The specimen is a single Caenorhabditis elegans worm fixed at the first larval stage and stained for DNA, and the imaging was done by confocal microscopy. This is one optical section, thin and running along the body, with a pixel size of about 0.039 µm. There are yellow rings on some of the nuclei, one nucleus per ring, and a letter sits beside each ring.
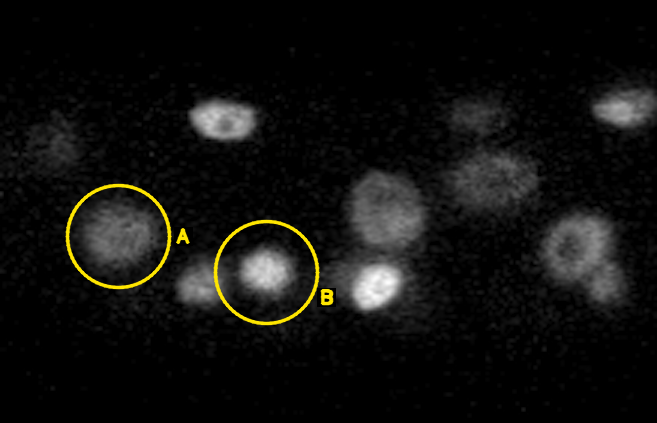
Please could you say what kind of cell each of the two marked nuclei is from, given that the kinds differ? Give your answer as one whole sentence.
Nucleus A comes from a seam cell and nucleus B from a neuron.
